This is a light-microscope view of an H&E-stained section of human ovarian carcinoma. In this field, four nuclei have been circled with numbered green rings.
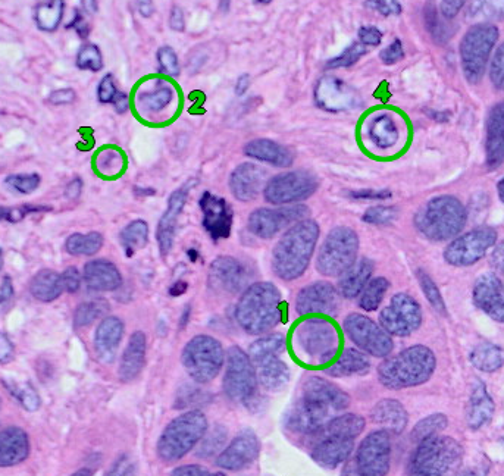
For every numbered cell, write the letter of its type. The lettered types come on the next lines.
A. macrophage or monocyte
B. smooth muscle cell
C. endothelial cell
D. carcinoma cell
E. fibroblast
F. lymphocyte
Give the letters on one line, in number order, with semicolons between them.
D; E; E; E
